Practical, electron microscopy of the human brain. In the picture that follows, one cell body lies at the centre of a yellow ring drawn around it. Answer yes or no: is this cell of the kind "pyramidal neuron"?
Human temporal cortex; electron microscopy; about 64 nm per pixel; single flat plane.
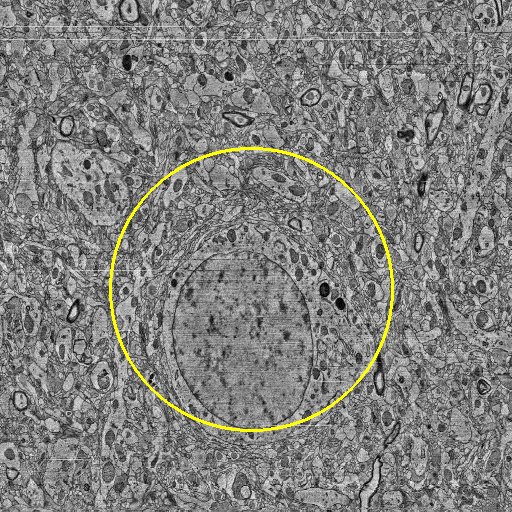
yes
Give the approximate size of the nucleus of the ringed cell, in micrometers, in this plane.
The nucleus works out at approximately 12 by 9 micrometres in this plane.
